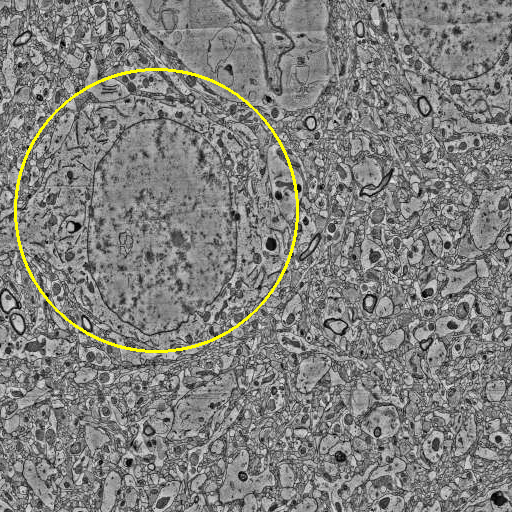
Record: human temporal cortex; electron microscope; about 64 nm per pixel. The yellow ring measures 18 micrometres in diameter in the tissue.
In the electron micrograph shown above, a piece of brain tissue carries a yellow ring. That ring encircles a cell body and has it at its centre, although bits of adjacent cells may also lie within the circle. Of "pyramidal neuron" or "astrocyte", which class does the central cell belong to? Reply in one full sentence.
The cell body at the centre of the yellow ring belongs to a pyramidal neuron.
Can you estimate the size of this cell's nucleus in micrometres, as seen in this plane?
In this plane, approximately 14 by 10 micrometers.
